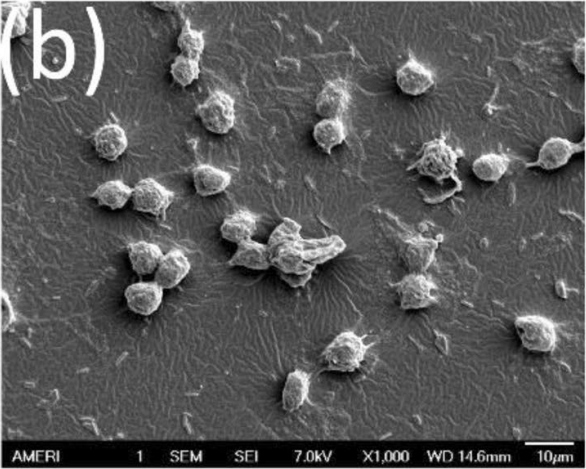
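Most are rounded with a rough, knobbly surface, and some are grouped in small clusters. Fine threads and short extensions spread from several of the cells onto the finely wrinkled substrate. A few cells look more irregular or elongated, with a tapering extension.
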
